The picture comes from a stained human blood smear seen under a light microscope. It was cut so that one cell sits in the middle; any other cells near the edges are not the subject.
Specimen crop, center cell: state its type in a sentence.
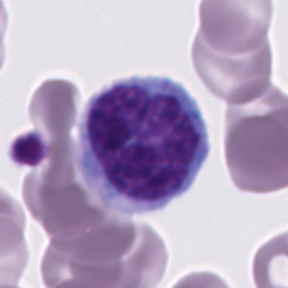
The central cell, amid any neighbouring cells, is a monocyte.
